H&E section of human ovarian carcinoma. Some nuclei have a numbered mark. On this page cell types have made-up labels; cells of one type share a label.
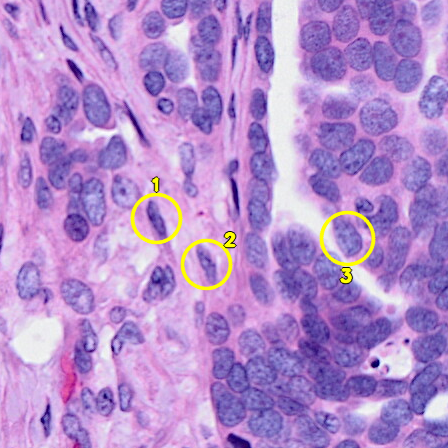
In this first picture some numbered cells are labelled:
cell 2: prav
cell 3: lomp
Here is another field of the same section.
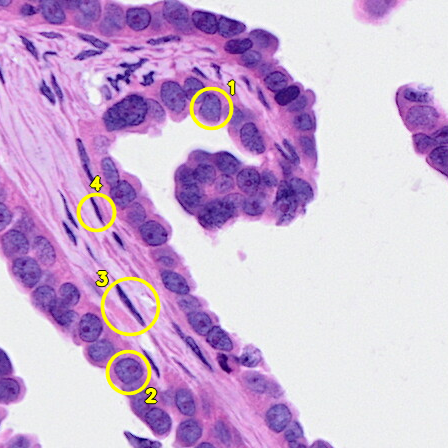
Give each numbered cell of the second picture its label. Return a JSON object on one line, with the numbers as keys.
{"1": "lomp", "2": "lomp", "3": "prav", "4": "prav"}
